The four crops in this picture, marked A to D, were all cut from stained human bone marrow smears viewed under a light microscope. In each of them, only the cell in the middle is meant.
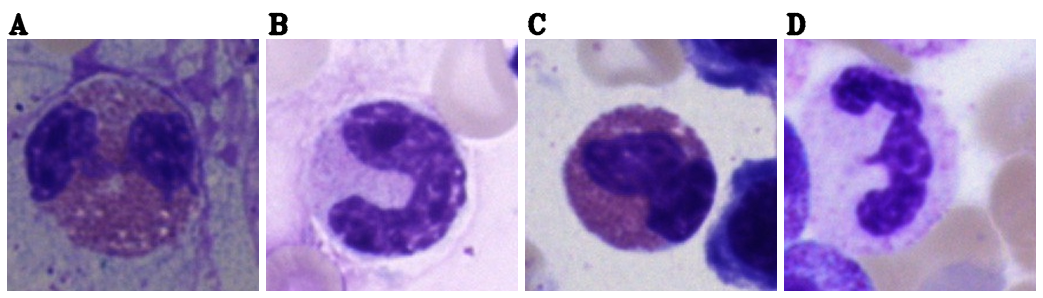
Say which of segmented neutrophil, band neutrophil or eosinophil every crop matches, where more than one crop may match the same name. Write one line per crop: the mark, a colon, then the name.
A: eosinophil
B: band neutrophil
C: eosinophil
D: segmented neutrophil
